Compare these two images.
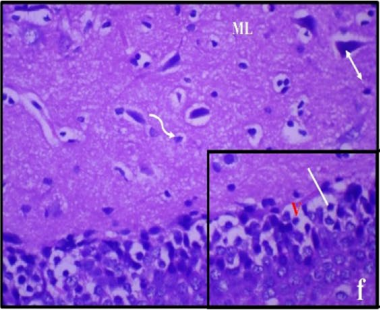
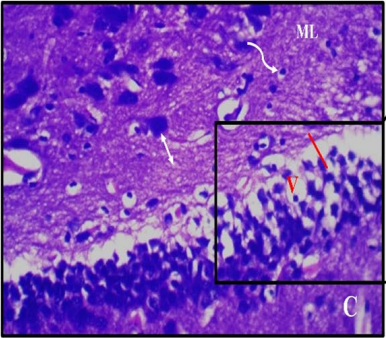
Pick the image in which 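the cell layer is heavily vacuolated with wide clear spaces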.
The second image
